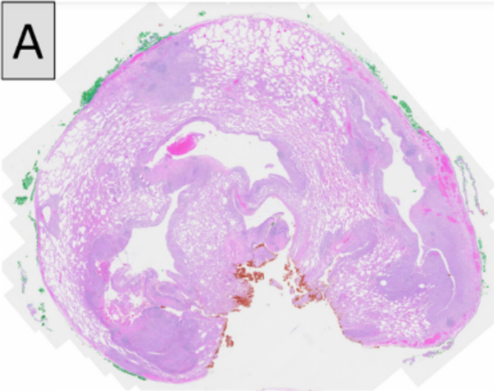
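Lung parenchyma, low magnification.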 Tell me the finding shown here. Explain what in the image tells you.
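Multiple cystic spaces. Large empty irregular spaces occupy the centre of the section. Solid pink-purple tissue walls surround the spaces. Lacy alveolar parenchyma lies at the periphery.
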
